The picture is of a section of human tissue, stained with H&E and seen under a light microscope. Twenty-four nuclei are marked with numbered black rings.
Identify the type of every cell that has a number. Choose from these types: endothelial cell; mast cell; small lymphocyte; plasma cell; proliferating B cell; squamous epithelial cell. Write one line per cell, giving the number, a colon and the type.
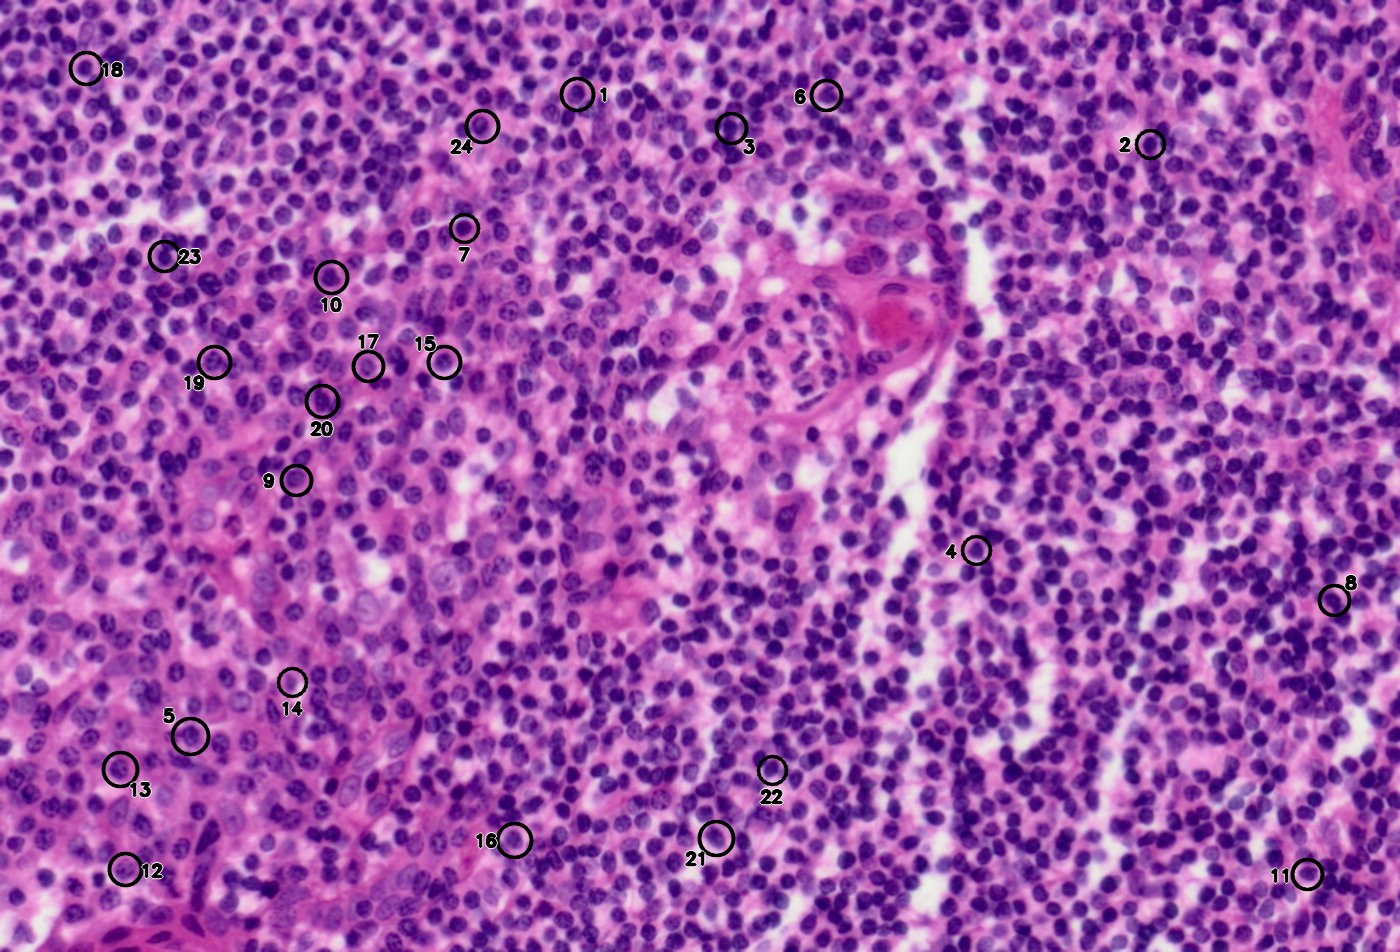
1: small lymphocyte
2: small lymphocyte
3: small lymphocyte
4: small lymphocyte
5: plasma cell
6: small lymphocyte
7: plasma cell
8: small lymphocyte
9: plasma cell
10: plasma cell
11: small lymphocyte
12: plasma cell
13: plasma cell
14: plasma cell
15: plasma cell
16: small lymphocyte
17: plasma cell
18: small lymphocyte
19: plasma cell
20: plasma cell
21: small lymphocyte
22: small lymphocyte
23: small lymphocyte
24: plasma cell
